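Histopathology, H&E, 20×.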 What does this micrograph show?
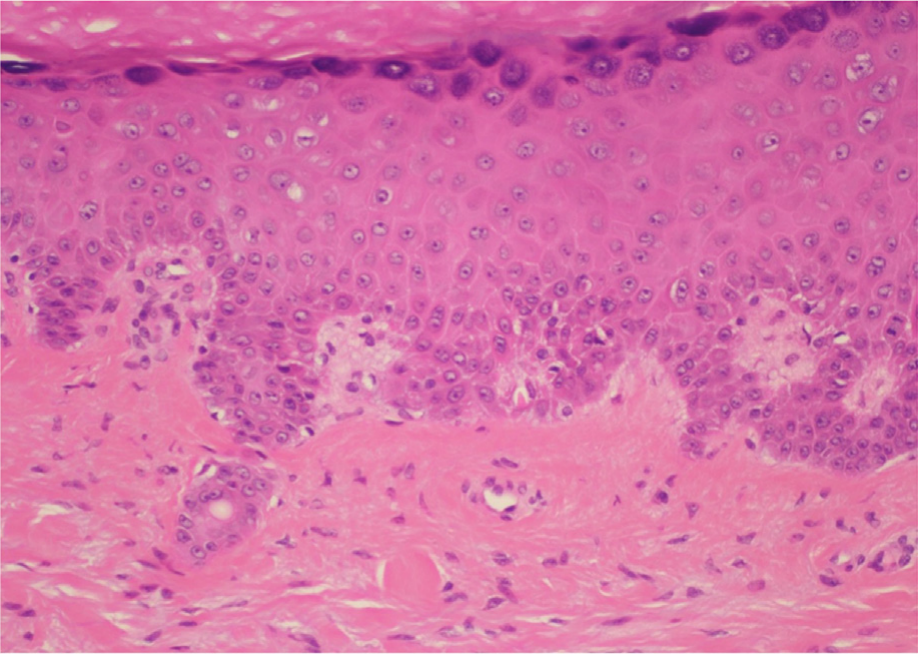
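This is skin, with a stratified squamous epidermis of keratinocytes resting on a pink, collagen-rich dermis. The keratinocytes are polygonal, with round central nuclei and pale pink cytoplasm. They become larger and flatter toward the surface, where a layer of dark purple granular cells lies beneath a compact pink keratin layer. Along the junction with the dermis, the basal layer is interrupted by pale, clear, vacuolated areas that blur the boundary. The underlying dermis contains small vessels and scattered spindle-shaped and round nucleated cells among the collagen bundles.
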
